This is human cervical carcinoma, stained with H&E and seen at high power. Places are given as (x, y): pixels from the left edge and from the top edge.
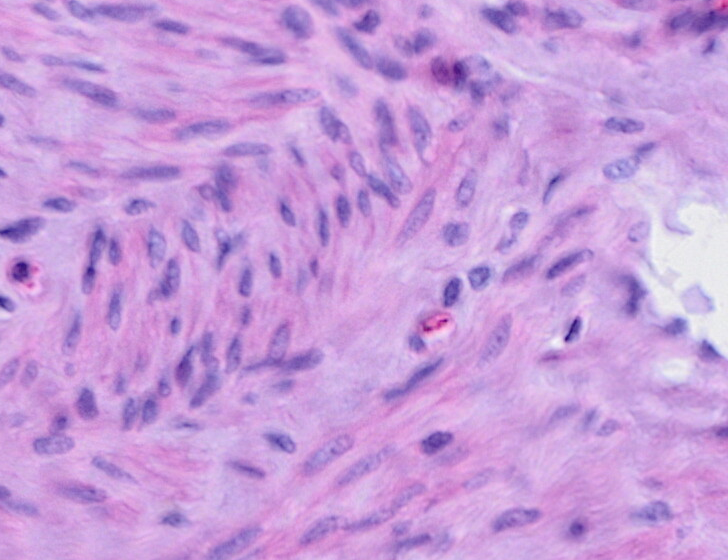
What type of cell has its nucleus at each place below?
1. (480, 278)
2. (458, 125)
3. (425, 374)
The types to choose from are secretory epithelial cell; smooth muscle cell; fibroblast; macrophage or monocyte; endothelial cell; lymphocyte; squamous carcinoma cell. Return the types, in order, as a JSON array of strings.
["fibroblast", "smooth muscle cell", "smooth muscle cell"]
